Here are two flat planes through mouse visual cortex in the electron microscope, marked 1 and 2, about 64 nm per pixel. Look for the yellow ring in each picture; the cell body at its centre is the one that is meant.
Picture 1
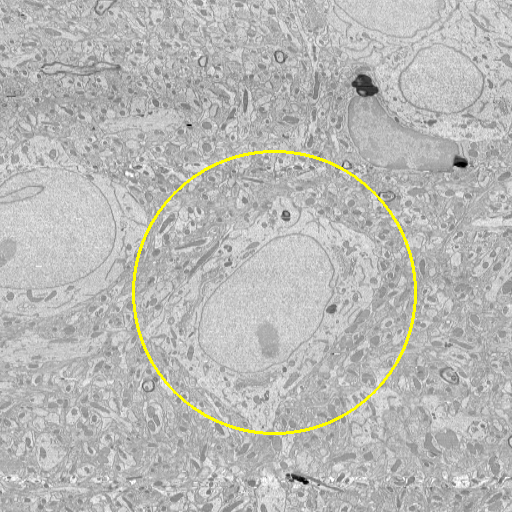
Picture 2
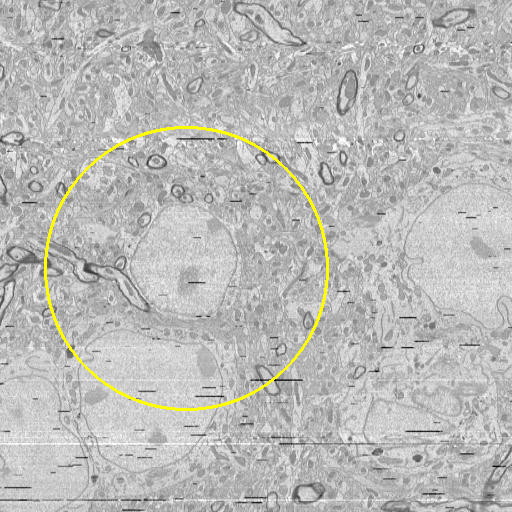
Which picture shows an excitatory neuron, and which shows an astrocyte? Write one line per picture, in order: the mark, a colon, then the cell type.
1: excitatory neuron
2: astrocyte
